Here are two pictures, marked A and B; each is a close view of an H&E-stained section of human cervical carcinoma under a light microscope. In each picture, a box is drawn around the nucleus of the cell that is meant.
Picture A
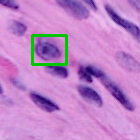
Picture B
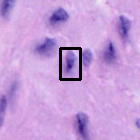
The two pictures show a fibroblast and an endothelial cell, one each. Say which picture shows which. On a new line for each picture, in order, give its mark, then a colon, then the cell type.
A: endothelial cell
B: fibroblast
